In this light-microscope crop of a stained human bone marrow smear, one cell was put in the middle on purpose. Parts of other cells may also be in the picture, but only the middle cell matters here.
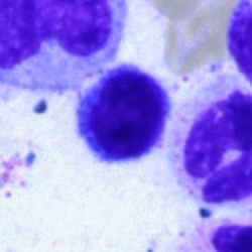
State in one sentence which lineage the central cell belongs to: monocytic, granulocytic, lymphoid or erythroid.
Lineage field for the centered cell should read lymphoid.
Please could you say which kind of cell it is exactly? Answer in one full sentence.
The cell under consideration, at the middle of the crop, is a lymphocyte.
